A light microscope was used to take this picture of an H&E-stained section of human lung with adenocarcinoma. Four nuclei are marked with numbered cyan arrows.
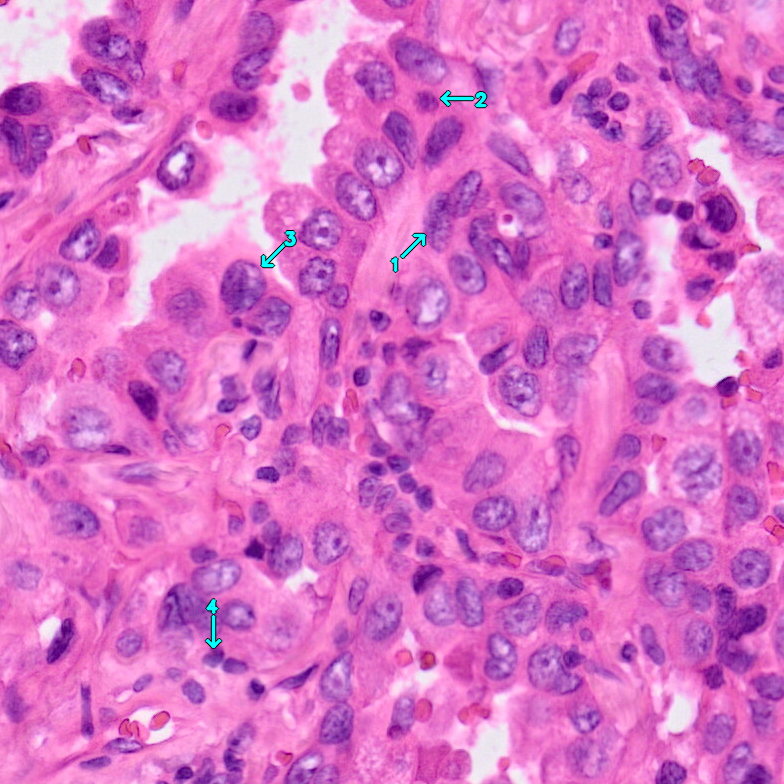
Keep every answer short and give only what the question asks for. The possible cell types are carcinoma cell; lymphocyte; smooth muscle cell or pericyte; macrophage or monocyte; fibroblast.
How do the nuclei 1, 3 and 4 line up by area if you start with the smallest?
4, 1, 3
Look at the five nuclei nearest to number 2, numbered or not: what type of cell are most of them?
carcinoma cell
